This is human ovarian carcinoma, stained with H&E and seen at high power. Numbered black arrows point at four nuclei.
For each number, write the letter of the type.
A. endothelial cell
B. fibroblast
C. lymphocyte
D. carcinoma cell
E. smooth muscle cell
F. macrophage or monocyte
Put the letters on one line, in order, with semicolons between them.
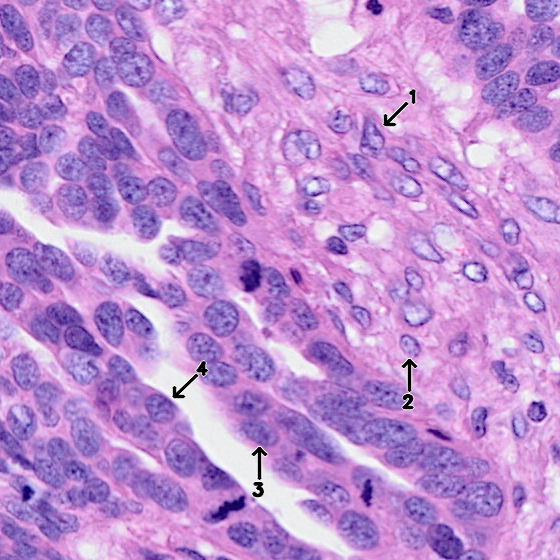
B; B; D; D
